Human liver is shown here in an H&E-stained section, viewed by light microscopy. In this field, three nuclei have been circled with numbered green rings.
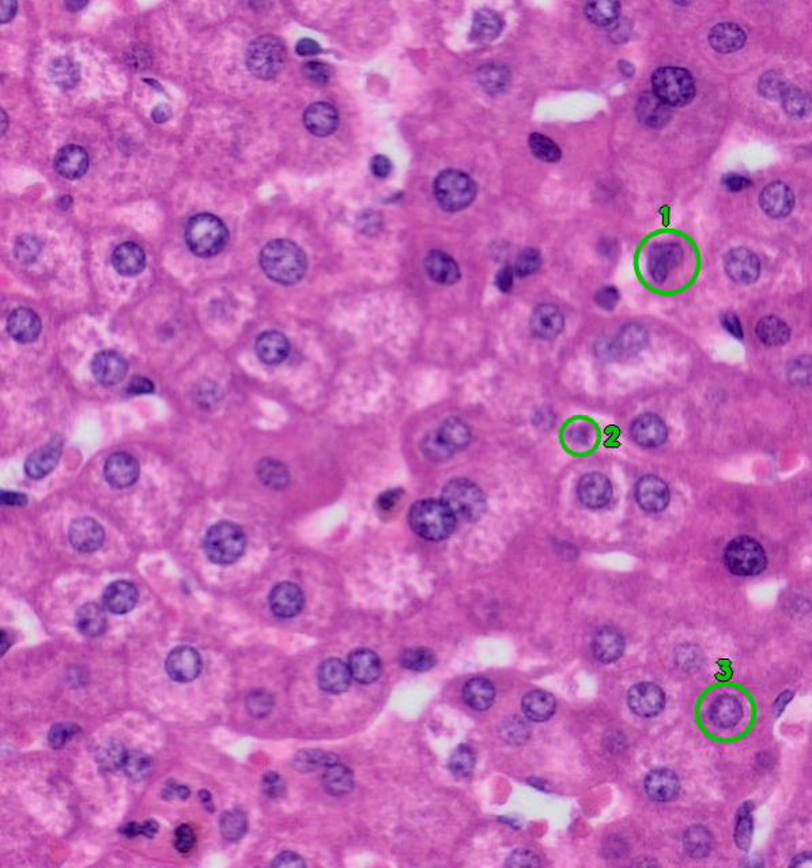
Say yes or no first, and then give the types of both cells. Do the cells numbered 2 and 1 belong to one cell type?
Yes, cell 2 is among the Kupffer cells, and cell 1 is as well.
